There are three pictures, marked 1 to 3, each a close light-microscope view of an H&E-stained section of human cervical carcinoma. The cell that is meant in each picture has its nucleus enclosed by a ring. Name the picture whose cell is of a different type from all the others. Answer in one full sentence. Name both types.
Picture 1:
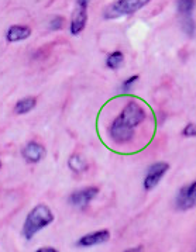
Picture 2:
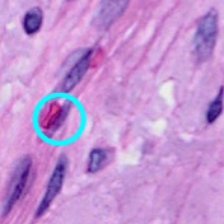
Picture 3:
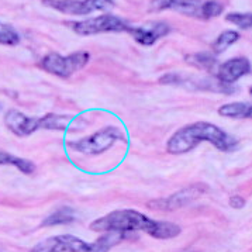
Picture 2 differs, because its cell is an endothelial cell and the rest are smooth muscle cells.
